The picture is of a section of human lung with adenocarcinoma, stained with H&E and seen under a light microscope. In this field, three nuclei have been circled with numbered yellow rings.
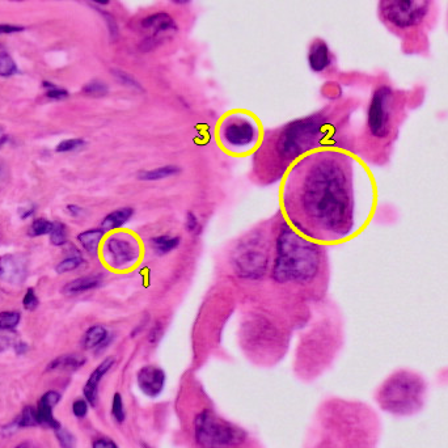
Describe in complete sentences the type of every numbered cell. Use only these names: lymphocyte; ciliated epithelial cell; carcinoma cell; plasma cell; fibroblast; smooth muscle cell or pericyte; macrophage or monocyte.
Cells 1 and 3 are lymphocytes. Cell 2 is a carcinoma cell.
